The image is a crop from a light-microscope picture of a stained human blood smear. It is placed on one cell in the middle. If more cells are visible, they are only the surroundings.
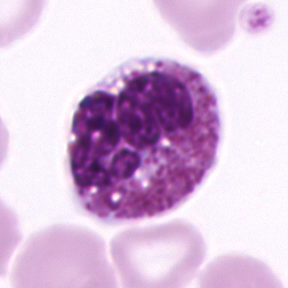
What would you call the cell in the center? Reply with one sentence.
In the crop, the cell of interest at the centre is an eosinophil.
